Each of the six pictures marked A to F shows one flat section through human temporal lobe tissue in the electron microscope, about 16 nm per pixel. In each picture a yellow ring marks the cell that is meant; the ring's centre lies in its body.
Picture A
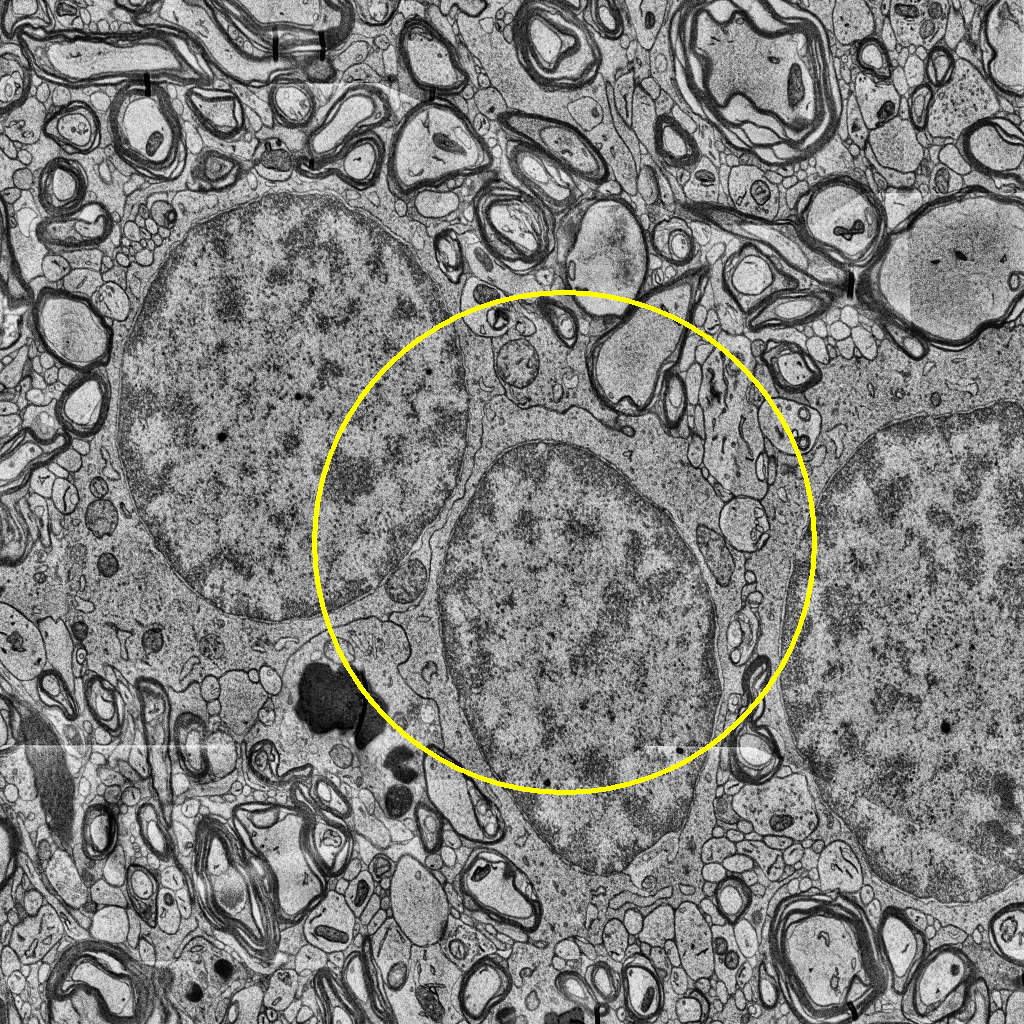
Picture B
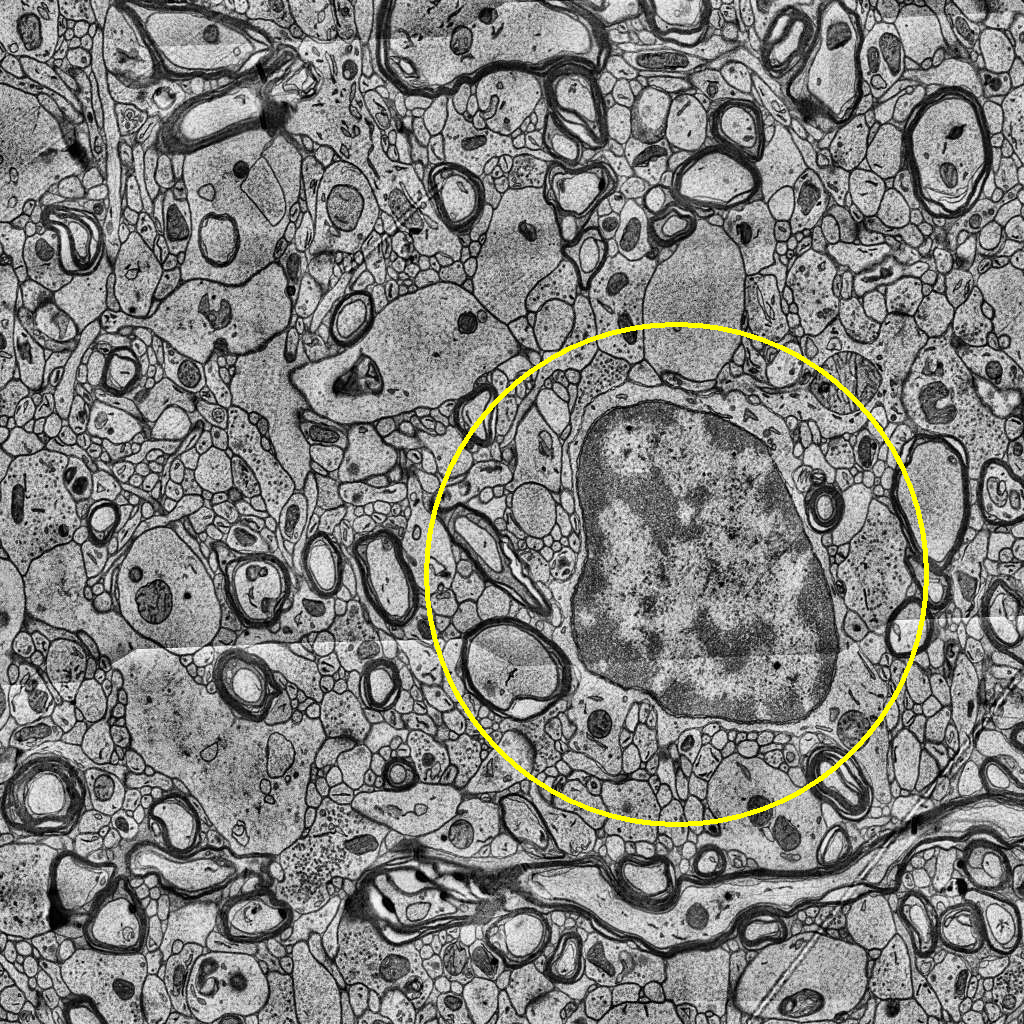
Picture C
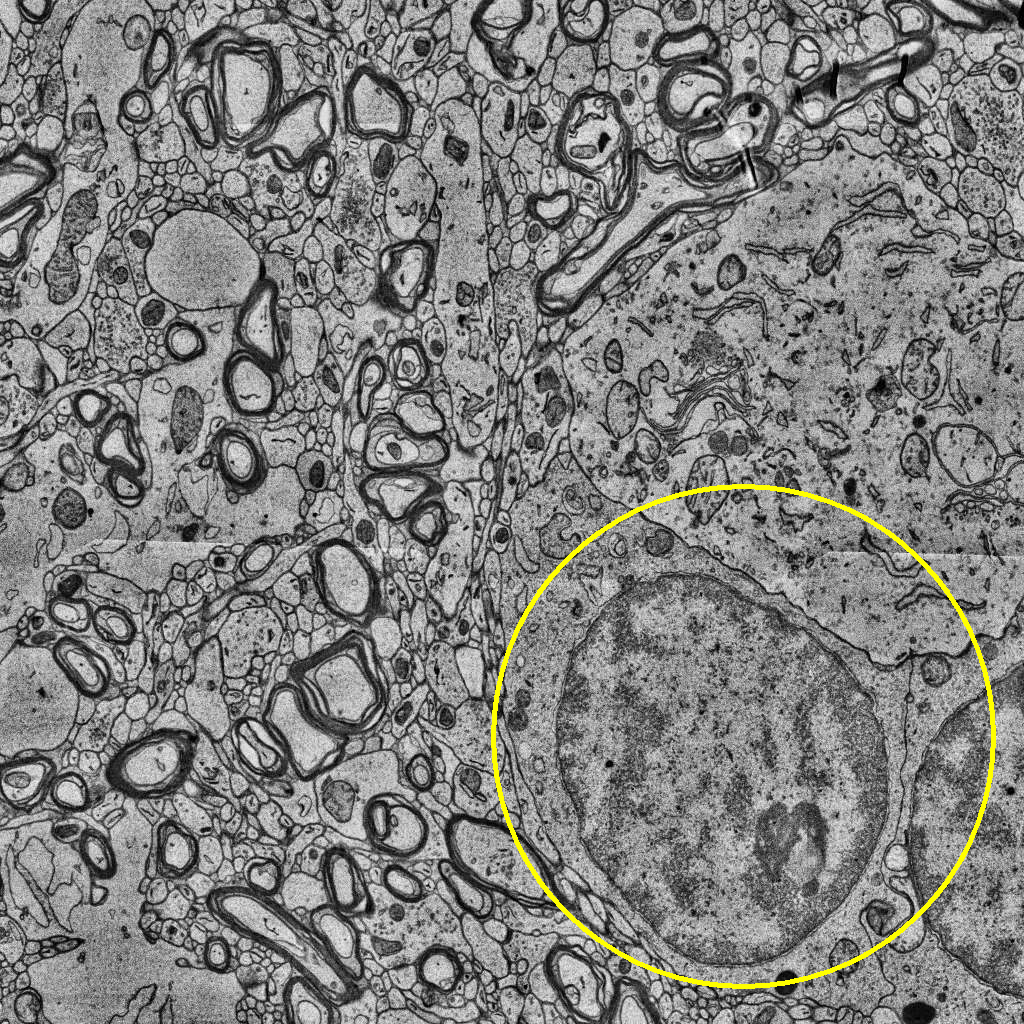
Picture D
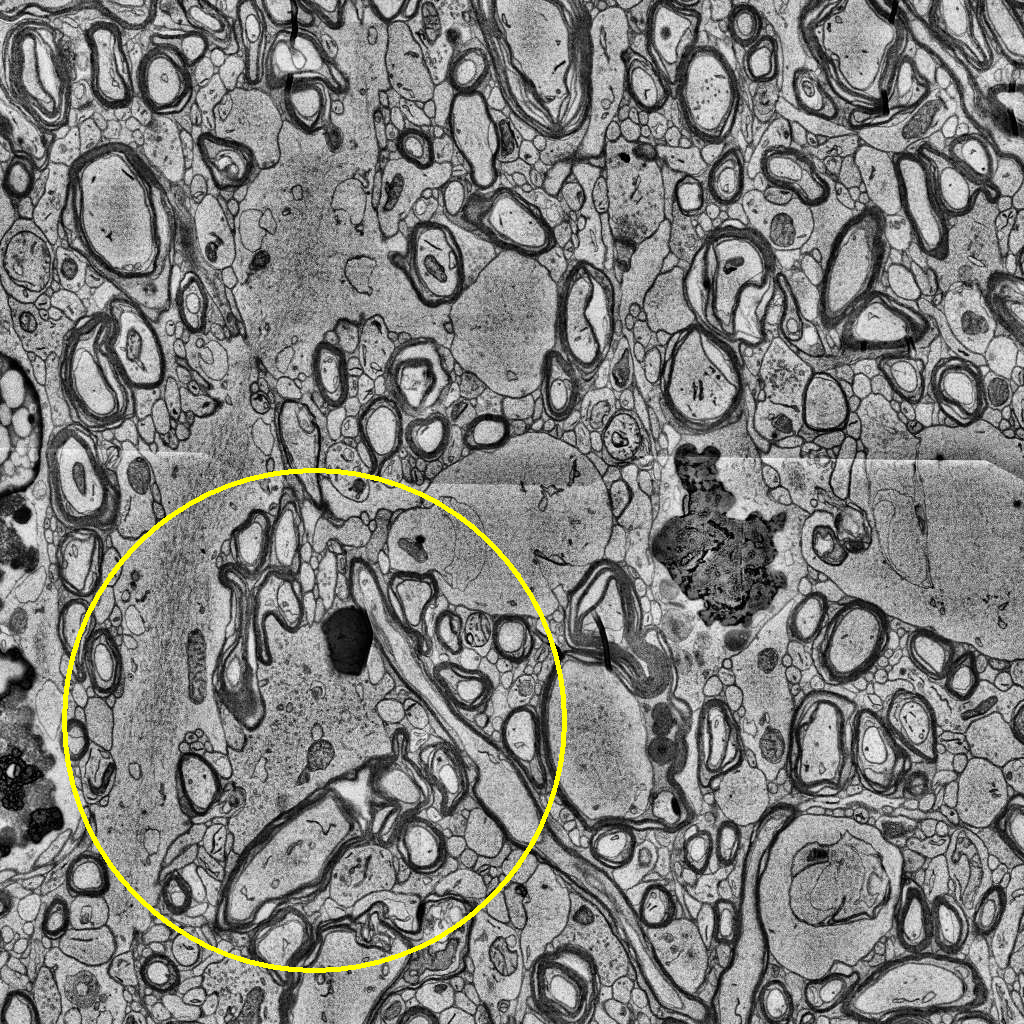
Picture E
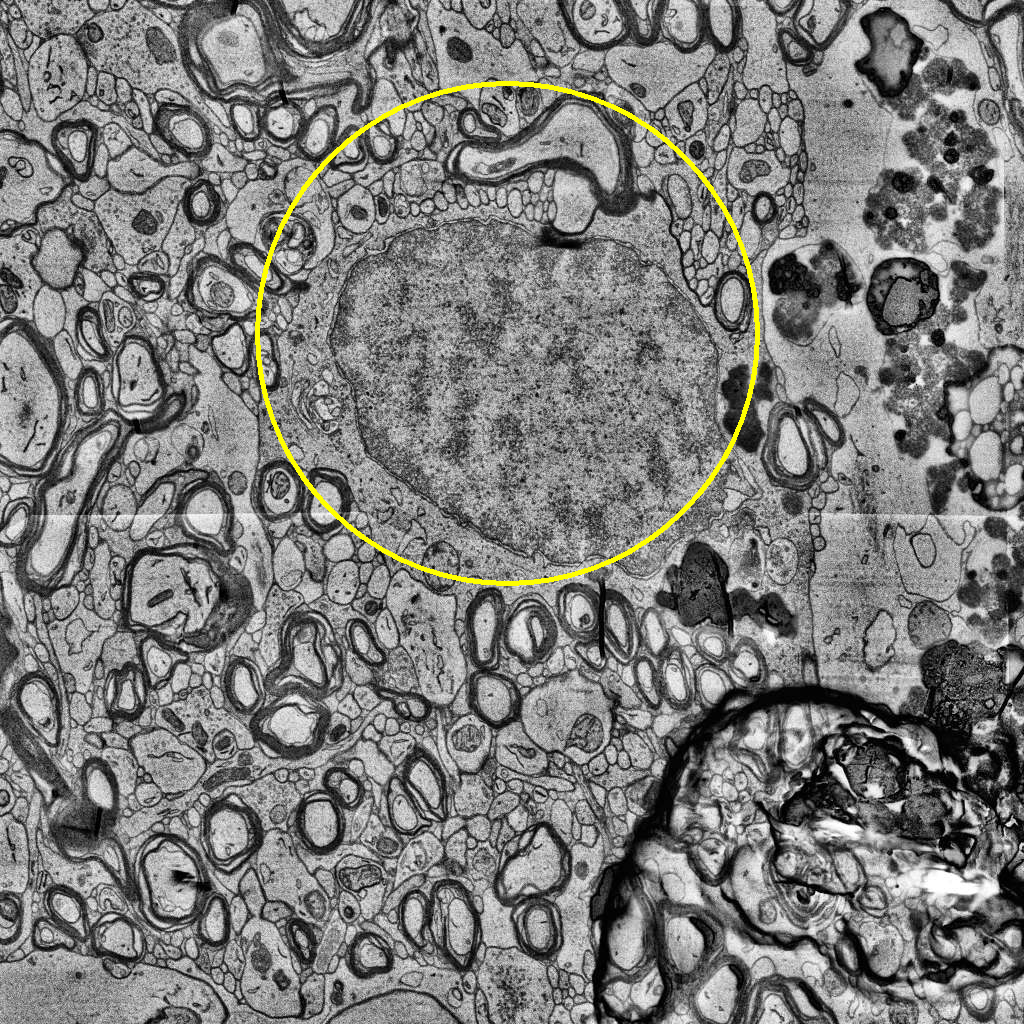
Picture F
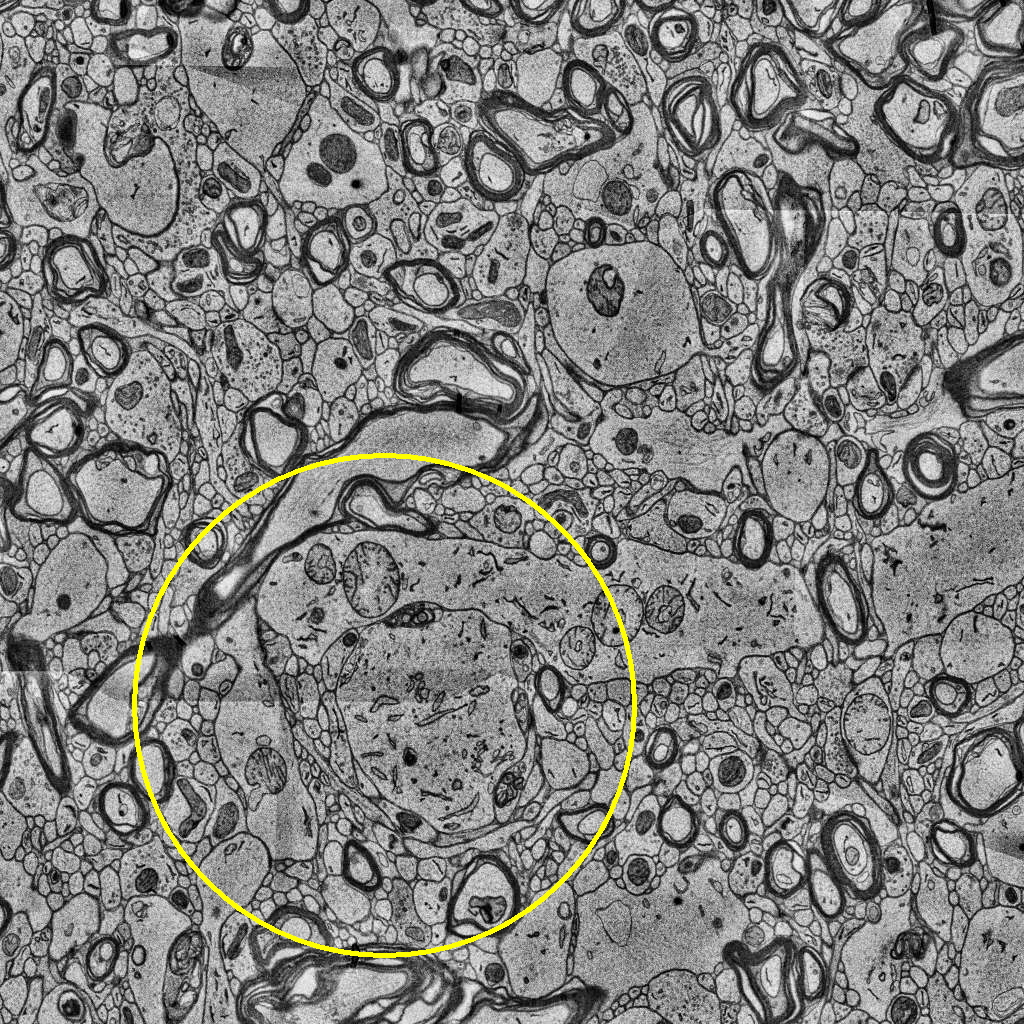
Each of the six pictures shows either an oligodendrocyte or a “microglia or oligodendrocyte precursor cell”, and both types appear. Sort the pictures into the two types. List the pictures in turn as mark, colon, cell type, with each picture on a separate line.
A: oligodendrocyte
B: microglia or oligodendrocyte precursor cell
C: oligodendrocyte
D: oligodendrocyte
E: oligodendrocyte
F: microglia or oligodendrocyte precursor cell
